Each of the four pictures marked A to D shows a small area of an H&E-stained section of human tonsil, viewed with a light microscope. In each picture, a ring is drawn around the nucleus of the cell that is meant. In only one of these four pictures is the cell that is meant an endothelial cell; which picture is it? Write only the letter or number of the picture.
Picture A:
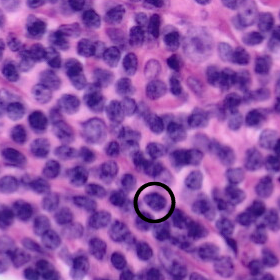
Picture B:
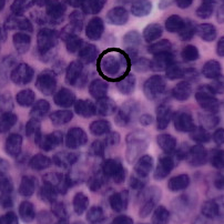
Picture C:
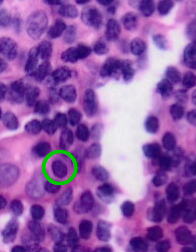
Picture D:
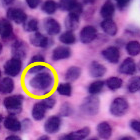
C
